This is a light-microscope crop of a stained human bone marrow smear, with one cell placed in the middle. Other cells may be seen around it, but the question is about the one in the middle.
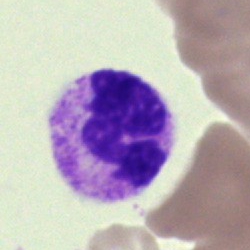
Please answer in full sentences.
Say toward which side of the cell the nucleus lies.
It is shifted toward the upper right of the cell.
